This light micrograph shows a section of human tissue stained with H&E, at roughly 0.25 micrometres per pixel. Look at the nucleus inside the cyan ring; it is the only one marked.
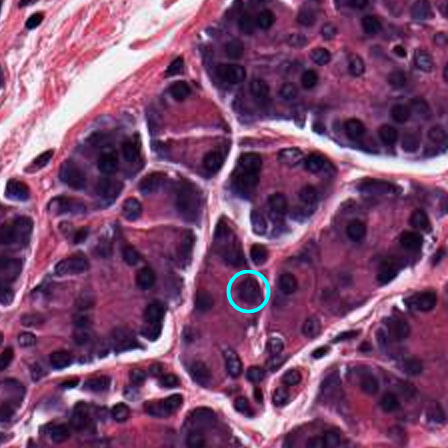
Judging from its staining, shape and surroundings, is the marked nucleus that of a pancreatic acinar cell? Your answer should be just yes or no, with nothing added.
yes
